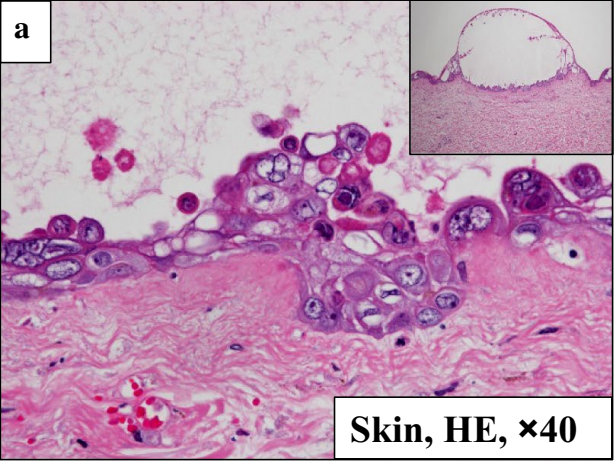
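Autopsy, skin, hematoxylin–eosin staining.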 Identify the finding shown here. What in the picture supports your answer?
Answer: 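Intranuclear inclusion bodies. Some cells hold several moulded nuclei.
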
